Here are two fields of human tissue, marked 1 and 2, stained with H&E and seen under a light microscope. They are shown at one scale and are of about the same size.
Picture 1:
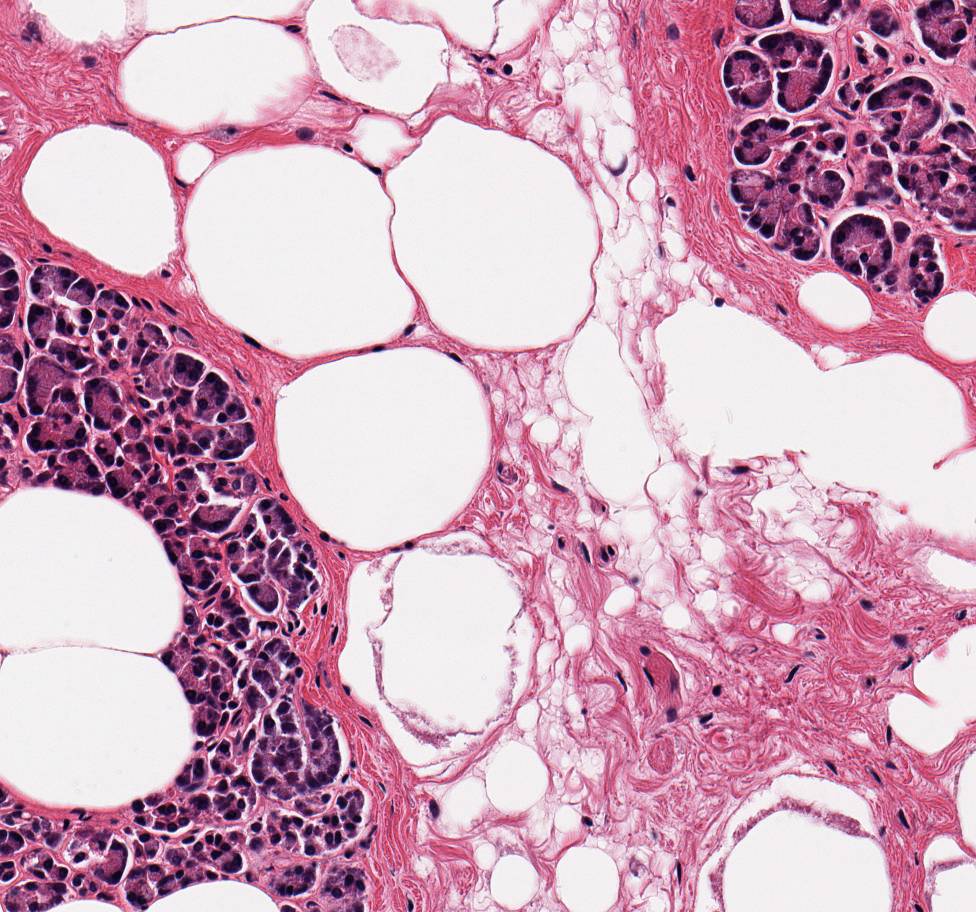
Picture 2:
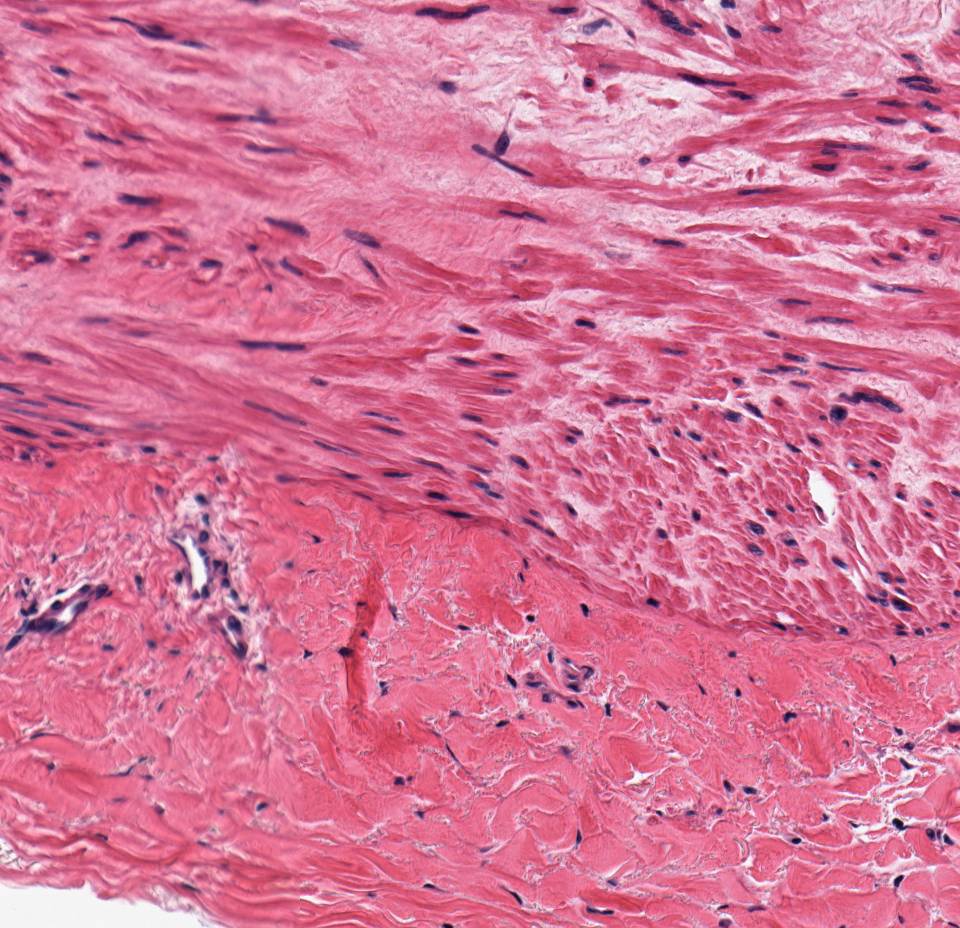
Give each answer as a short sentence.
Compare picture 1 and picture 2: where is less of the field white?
It is picture 2 that stained tissue fills more completely.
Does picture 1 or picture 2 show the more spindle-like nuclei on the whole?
Longer, more slender nuclei lie in picture 2.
